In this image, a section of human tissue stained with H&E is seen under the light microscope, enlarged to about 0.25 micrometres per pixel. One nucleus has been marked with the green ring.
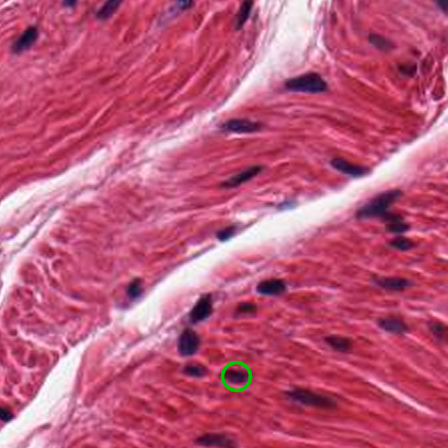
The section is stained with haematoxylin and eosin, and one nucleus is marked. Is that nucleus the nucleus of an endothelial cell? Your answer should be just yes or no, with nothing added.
no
